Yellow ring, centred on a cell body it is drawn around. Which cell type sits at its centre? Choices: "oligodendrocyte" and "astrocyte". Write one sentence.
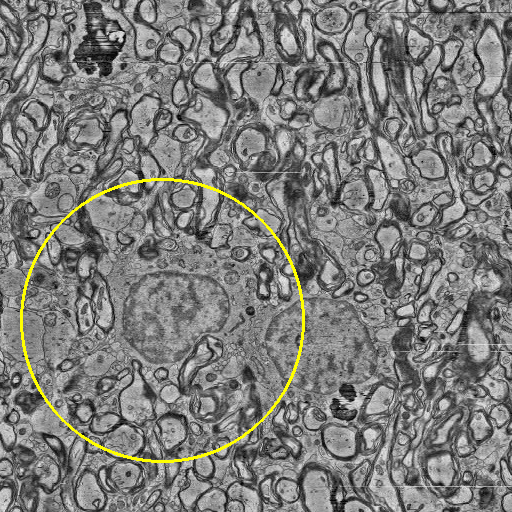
At the centre of the ring sits an oligodendrocyte.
